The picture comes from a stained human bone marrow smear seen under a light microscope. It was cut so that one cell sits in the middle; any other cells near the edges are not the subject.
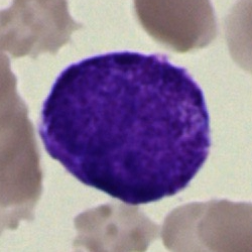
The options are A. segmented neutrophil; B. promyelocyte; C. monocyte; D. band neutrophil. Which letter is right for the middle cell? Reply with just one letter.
B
